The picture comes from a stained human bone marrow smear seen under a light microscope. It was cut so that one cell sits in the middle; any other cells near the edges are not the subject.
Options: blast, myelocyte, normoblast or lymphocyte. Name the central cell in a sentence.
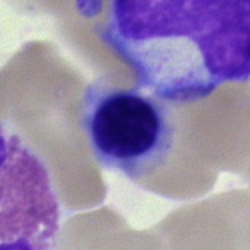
The cell positioned in the middle of the field is a normoblast.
